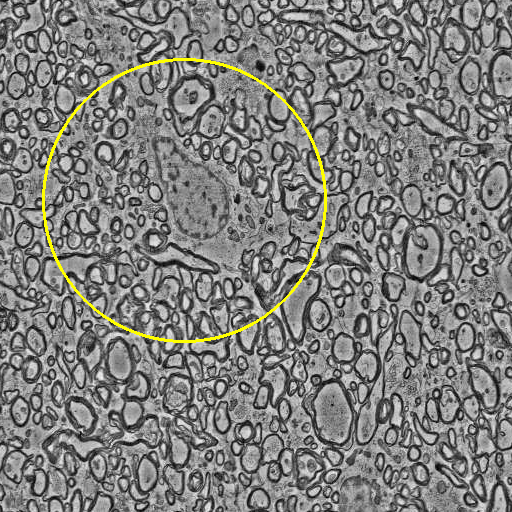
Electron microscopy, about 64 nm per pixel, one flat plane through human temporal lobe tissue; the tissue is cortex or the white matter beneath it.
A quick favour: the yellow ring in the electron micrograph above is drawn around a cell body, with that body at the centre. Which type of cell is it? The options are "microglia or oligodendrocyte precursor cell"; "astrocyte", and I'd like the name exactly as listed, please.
astrocyte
